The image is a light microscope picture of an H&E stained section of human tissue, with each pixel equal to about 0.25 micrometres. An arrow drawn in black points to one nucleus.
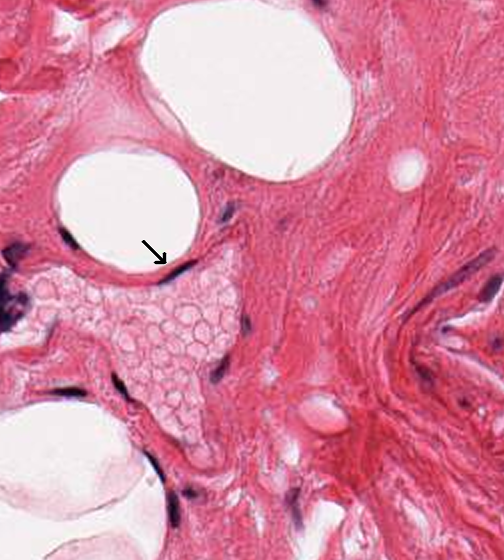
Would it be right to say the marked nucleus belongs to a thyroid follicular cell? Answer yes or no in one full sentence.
No, it is not a thyroid follicular cell but a supporting cell to which the marked nucleus is assigned.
